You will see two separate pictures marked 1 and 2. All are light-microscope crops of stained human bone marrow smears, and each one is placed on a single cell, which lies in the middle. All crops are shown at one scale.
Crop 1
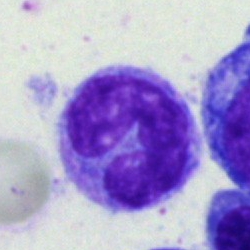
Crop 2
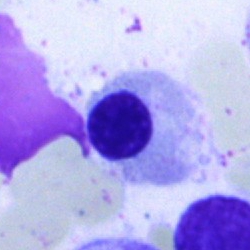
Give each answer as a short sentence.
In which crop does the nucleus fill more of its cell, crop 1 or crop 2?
The nucleus fills more of the cell in crop 1 than in crop 2.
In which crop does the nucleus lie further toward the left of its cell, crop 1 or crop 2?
Seen within its cell, the nucleus in crop 2 lies further toward the left.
